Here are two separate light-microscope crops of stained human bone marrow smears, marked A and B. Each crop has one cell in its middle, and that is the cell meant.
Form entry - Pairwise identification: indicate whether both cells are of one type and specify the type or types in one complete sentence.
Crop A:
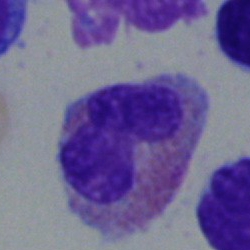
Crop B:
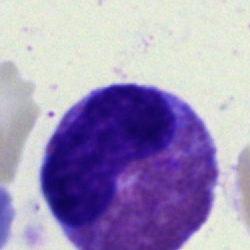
Yes, the cells in both crops are eosinophils.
